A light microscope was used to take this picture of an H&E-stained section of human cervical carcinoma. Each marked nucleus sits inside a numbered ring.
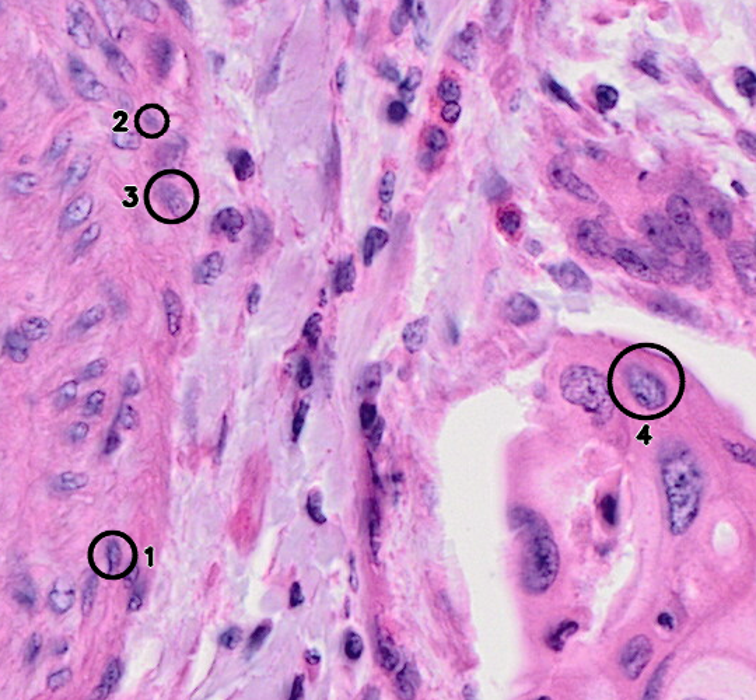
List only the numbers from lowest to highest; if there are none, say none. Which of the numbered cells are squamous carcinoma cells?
4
